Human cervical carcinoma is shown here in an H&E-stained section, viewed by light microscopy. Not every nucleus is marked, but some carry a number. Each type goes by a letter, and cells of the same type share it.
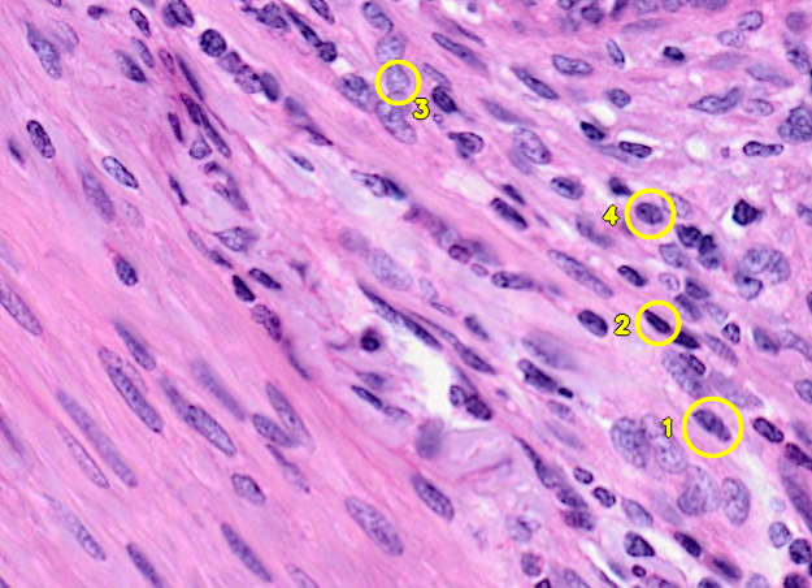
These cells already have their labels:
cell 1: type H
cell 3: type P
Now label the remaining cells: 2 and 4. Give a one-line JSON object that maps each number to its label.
{"2": "type H", "4": "type H"}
